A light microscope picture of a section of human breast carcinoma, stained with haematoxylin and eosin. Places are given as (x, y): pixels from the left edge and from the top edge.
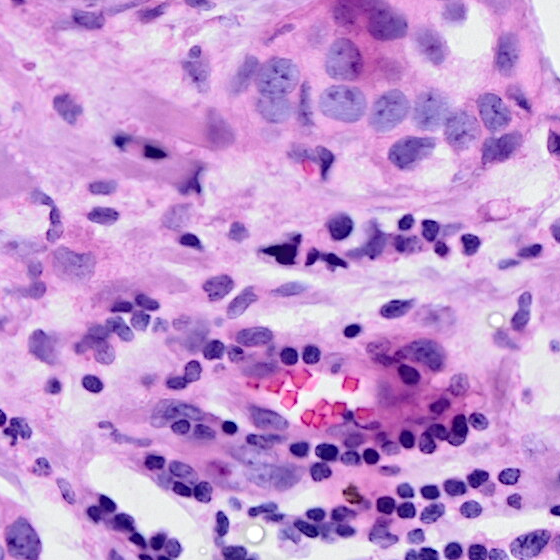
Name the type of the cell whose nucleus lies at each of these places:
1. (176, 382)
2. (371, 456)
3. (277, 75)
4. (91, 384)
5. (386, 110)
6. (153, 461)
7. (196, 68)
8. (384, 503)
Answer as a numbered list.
1. lymphocyte
2. lymphocyte
3. carcinoma cell
4. lymphocyte
5. carcinoma cell
6. lymphocyte
7. fibroblast
8. lymphocyte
